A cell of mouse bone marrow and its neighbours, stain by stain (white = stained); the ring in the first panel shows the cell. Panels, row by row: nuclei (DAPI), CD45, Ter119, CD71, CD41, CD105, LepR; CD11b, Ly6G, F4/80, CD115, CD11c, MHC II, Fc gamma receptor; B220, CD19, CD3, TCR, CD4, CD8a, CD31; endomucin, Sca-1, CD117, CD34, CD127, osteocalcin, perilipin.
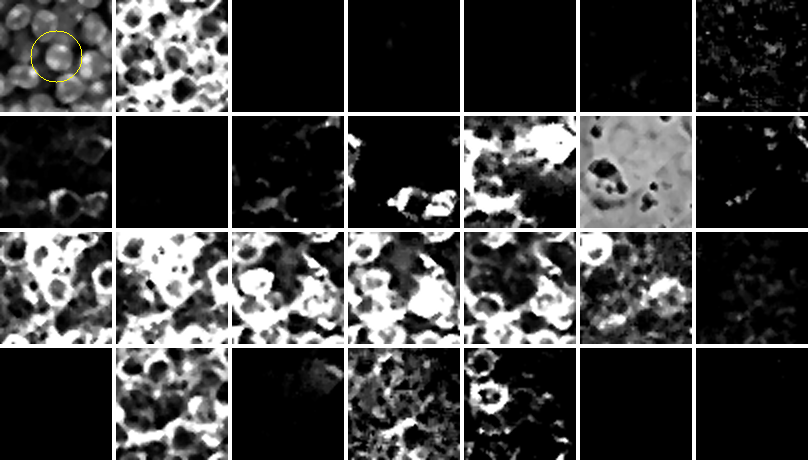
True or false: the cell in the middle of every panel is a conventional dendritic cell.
False; it is a B cell.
